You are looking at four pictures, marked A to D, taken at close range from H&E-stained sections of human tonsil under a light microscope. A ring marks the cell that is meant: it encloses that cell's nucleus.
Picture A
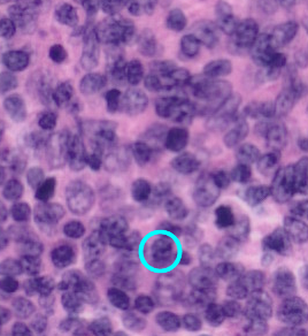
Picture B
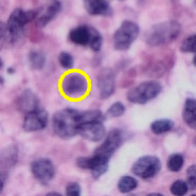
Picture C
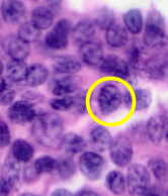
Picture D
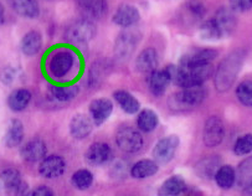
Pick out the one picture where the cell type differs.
D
